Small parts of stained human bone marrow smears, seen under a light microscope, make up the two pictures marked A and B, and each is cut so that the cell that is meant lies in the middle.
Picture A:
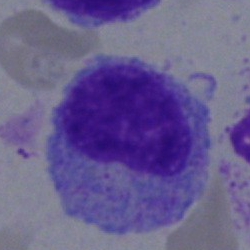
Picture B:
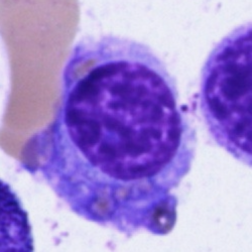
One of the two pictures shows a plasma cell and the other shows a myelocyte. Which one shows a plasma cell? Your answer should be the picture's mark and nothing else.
B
